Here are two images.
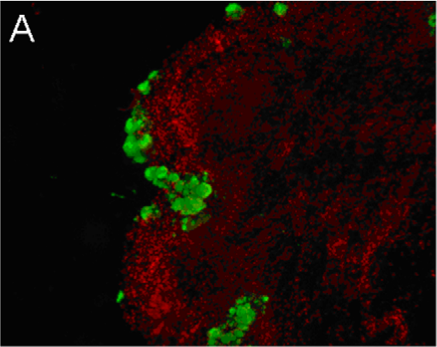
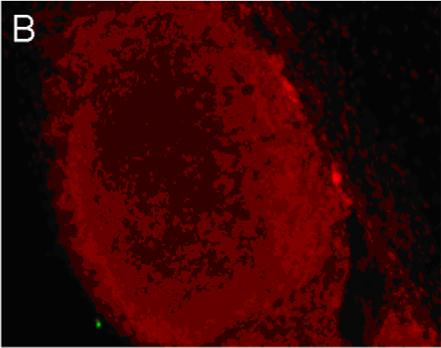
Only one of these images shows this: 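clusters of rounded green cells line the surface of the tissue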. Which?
the first image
